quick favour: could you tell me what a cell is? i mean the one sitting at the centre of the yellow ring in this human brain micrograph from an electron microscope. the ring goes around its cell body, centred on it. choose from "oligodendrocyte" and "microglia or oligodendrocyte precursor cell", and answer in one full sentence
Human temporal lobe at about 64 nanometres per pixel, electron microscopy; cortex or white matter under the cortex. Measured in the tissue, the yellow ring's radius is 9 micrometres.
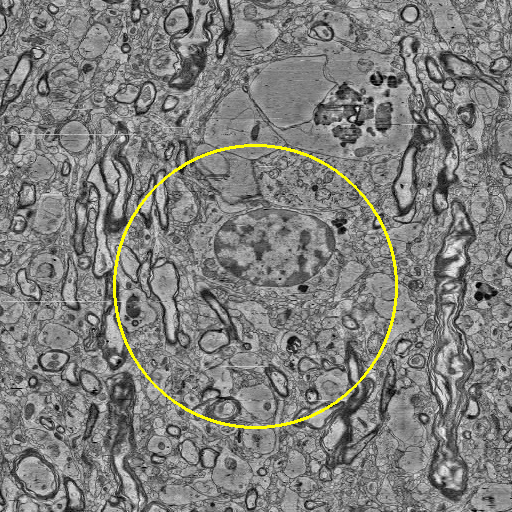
That's a microglial cell or oligodendrocyte precursor cell, the cell sitting at the centre of the yellow ring.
